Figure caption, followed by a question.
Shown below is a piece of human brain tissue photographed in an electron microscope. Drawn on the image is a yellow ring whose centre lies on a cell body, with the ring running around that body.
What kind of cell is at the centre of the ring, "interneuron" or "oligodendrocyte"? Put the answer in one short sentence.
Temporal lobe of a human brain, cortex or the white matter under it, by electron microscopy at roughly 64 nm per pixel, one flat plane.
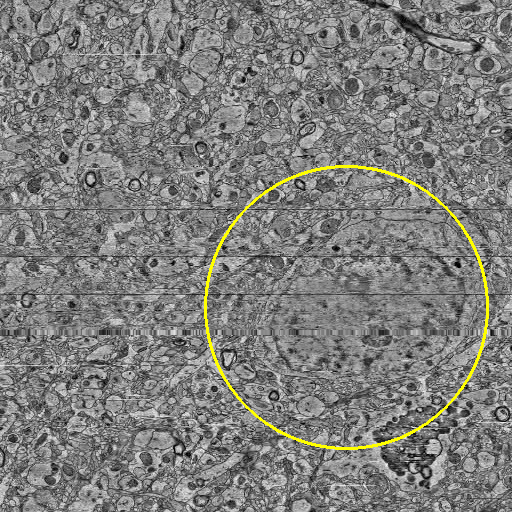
The ring marks the cell body of an interneuron.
